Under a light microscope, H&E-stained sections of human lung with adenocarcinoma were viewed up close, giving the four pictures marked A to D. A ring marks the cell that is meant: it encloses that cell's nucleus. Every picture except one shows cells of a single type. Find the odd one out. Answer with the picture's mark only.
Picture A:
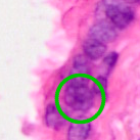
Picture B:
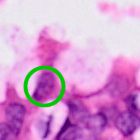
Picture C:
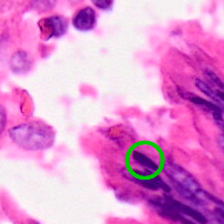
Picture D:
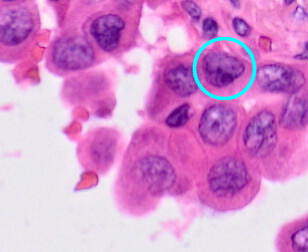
D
